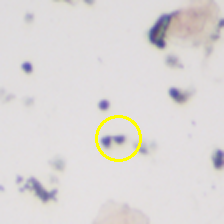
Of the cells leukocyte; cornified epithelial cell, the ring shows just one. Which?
The ring shows a leukocyte.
